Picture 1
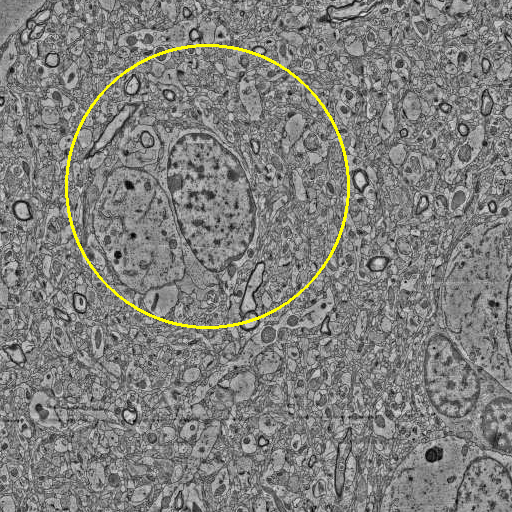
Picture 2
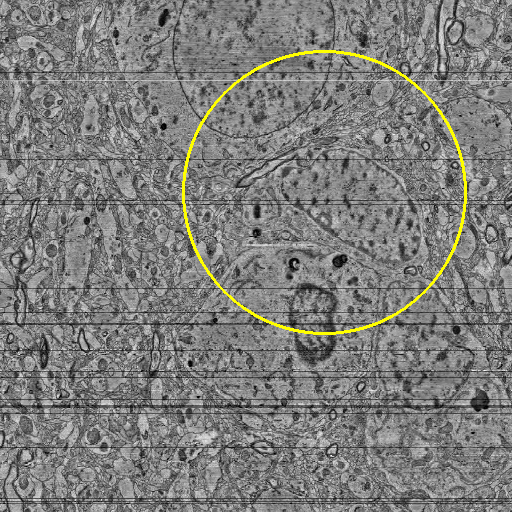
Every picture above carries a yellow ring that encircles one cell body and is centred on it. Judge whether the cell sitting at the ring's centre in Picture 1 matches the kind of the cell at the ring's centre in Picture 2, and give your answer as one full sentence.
Yes, the cells centred in the rings of Pictures 1 and 2 belong to one kind.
